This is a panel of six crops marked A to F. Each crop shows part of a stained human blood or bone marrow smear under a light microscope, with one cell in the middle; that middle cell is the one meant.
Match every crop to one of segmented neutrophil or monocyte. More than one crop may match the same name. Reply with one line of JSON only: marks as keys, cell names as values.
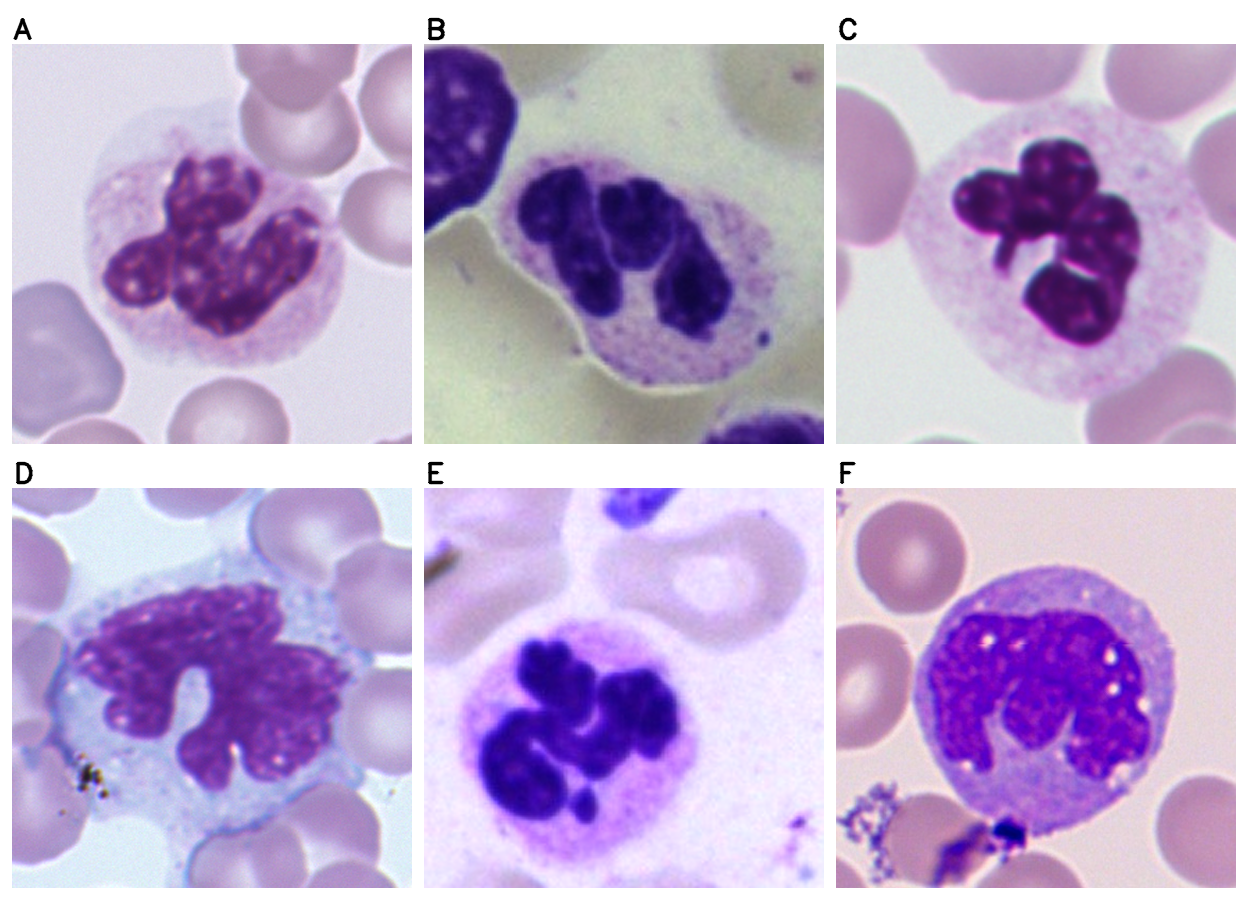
{"A": "segmented neutrophil", "B": "segmented neutrophil", "C": "segmented neutrophil", "D": "monocyte", "E": "segmented neutrophil", "F": "monocyte"}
